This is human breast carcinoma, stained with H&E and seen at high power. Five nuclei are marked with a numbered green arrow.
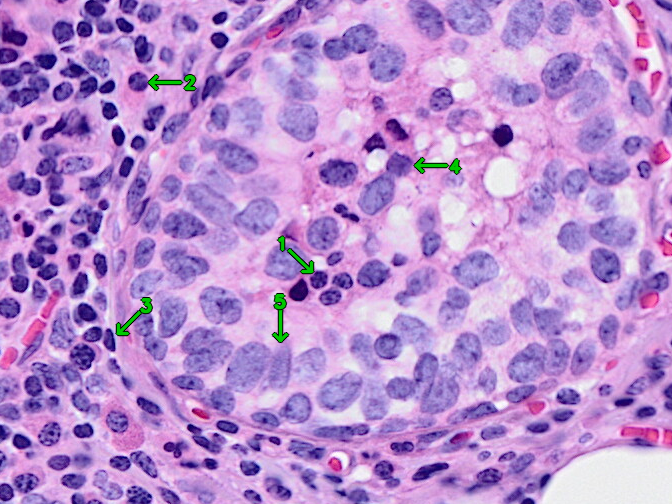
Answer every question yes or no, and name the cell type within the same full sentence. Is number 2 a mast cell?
Yes, the cell identified as number 2 is a mast cell.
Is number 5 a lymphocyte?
No, a carcinoma cell is what cell 5 is, not a lymphocyte.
